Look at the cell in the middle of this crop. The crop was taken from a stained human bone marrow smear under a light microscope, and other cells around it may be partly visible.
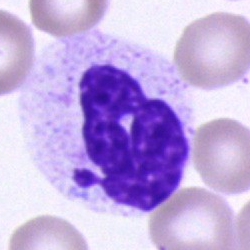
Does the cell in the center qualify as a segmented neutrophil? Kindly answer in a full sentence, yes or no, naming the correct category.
Yes, the cell that is in the middle is a segmented neutrophil.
